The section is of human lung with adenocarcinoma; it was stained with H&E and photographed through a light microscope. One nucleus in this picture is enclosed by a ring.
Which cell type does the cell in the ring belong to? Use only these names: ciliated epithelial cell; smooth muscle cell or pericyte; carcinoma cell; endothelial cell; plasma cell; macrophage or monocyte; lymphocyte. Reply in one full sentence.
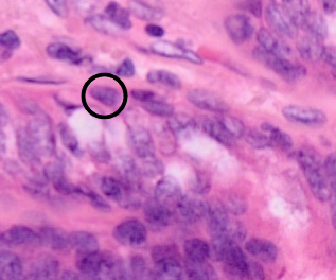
Labelled by cell type, the cell in the ring is a ciliated epithelial cell.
